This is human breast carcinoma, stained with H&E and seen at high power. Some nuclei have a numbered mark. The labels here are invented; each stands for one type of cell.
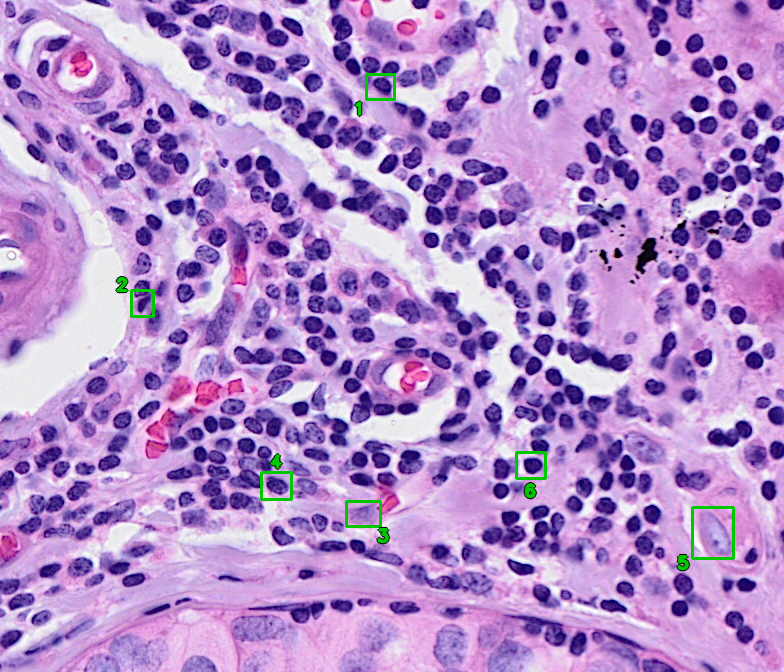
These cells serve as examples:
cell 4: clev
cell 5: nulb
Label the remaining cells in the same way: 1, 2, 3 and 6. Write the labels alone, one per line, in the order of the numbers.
clev
clev
nulb
clev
